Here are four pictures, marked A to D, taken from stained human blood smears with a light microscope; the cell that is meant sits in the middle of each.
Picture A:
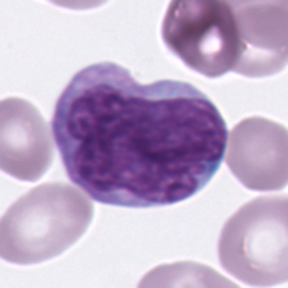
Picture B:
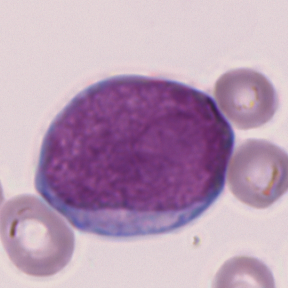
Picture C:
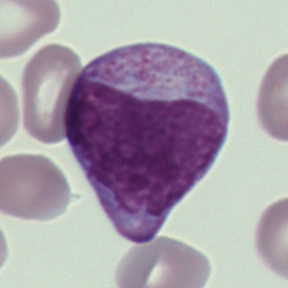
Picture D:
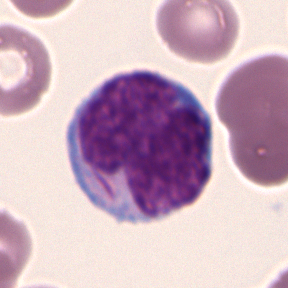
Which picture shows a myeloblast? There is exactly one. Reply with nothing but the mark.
B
